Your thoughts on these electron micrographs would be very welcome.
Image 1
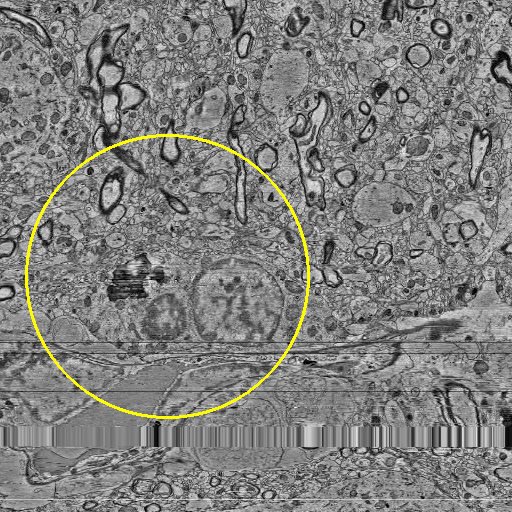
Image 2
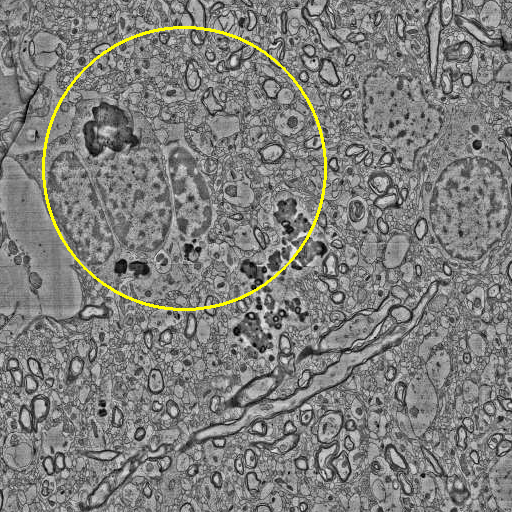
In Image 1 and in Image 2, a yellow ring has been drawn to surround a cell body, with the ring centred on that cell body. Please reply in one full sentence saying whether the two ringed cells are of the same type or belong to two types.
The ringed cells in Image 1 and Image 2 belong to two types.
